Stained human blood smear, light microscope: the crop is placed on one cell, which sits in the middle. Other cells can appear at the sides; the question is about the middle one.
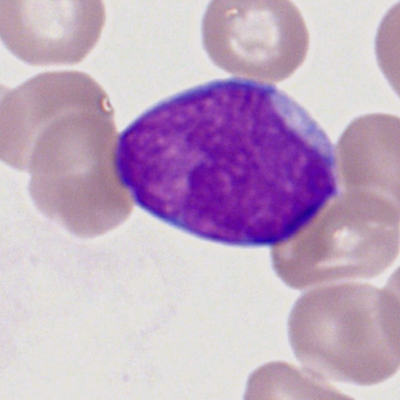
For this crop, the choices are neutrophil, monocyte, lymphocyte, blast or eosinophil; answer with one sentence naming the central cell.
The middle cell in this particular crop is a blast.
